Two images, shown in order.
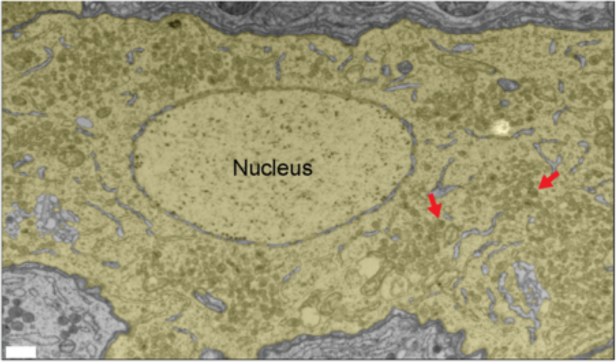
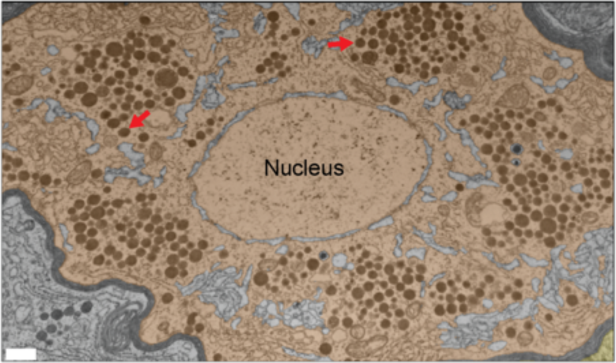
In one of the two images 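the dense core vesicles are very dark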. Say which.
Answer: The second image.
